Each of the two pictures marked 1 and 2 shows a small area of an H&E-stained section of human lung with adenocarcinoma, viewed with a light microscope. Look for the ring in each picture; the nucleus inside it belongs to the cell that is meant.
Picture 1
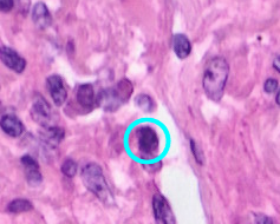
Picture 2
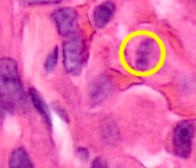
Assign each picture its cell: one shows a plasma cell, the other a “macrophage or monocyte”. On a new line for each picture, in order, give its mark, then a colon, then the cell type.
1: plasma cell
2: macrophage or monocyte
